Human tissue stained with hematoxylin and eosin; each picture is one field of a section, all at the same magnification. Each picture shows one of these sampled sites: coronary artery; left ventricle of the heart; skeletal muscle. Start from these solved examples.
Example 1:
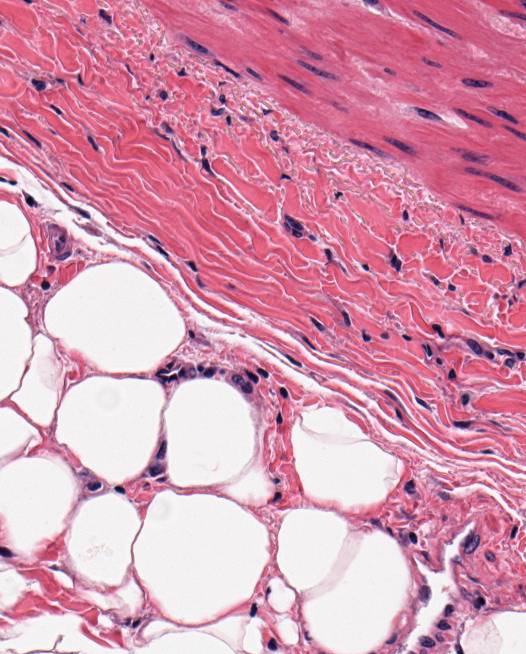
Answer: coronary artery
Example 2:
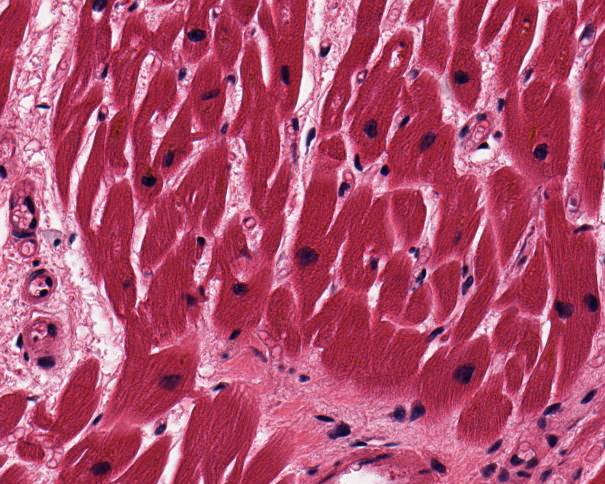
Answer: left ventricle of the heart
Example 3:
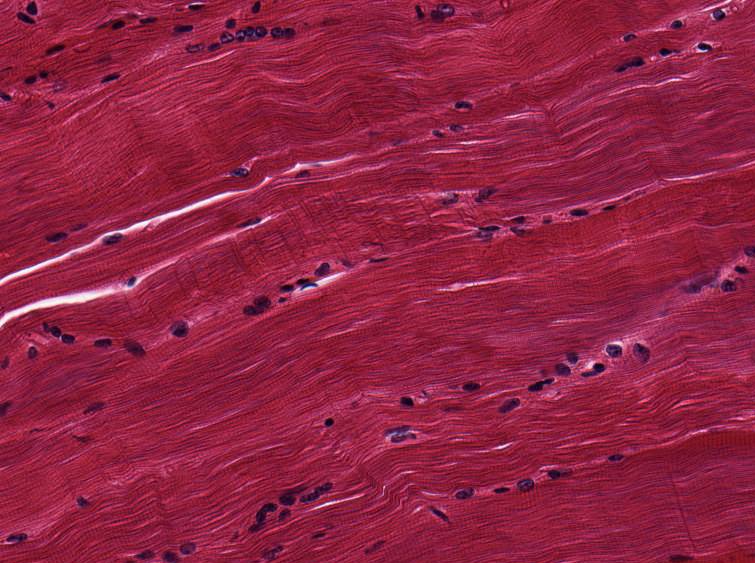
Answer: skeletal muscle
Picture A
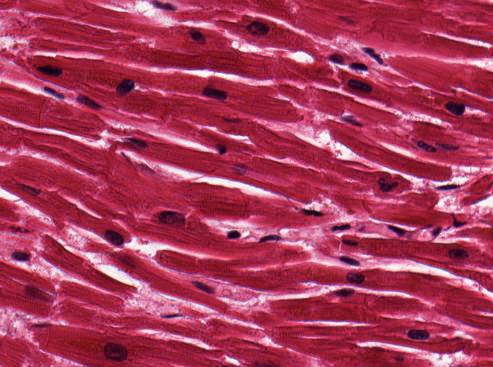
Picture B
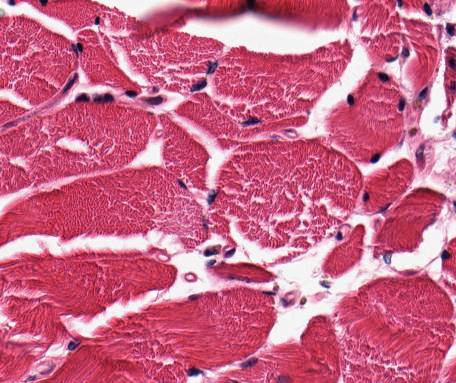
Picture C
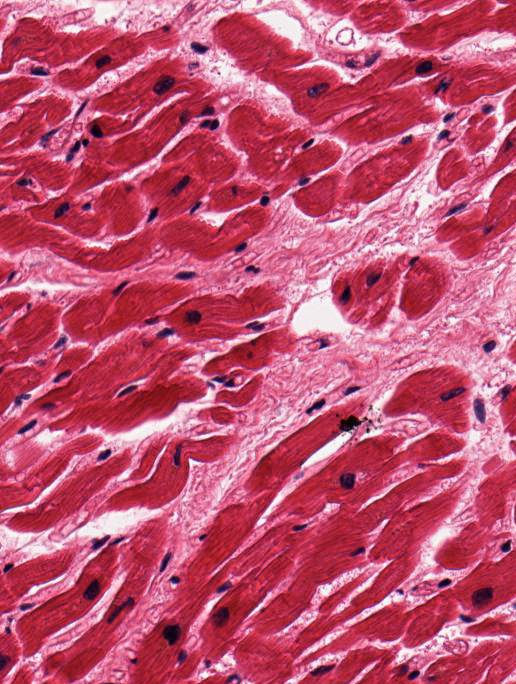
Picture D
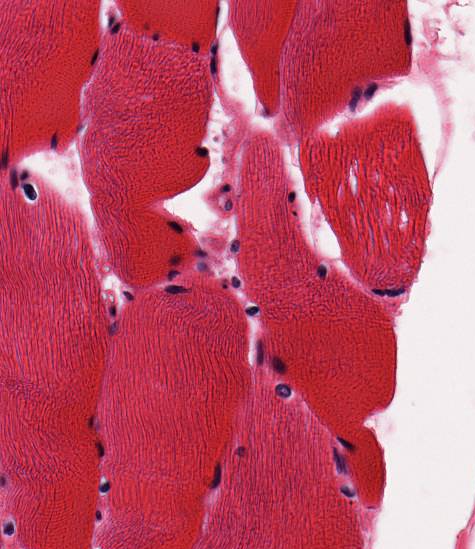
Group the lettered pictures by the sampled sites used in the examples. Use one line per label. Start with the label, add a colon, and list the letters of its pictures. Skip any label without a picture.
left ventricle of the heart: A, C
skeletal muscle: B, D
